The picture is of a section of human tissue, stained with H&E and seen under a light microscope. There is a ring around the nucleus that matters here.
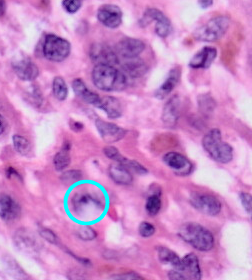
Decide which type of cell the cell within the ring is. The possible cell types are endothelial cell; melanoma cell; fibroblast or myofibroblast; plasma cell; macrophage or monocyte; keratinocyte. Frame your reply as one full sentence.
In the tissue at hand, the cell within the ring is an endothelial cell.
